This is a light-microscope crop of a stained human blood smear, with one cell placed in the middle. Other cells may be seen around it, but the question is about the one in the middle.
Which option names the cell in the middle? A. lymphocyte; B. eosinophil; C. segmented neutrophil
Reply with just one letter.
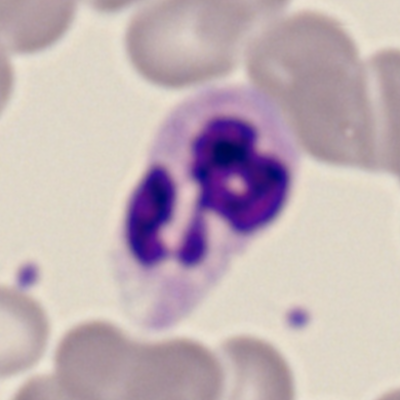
C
